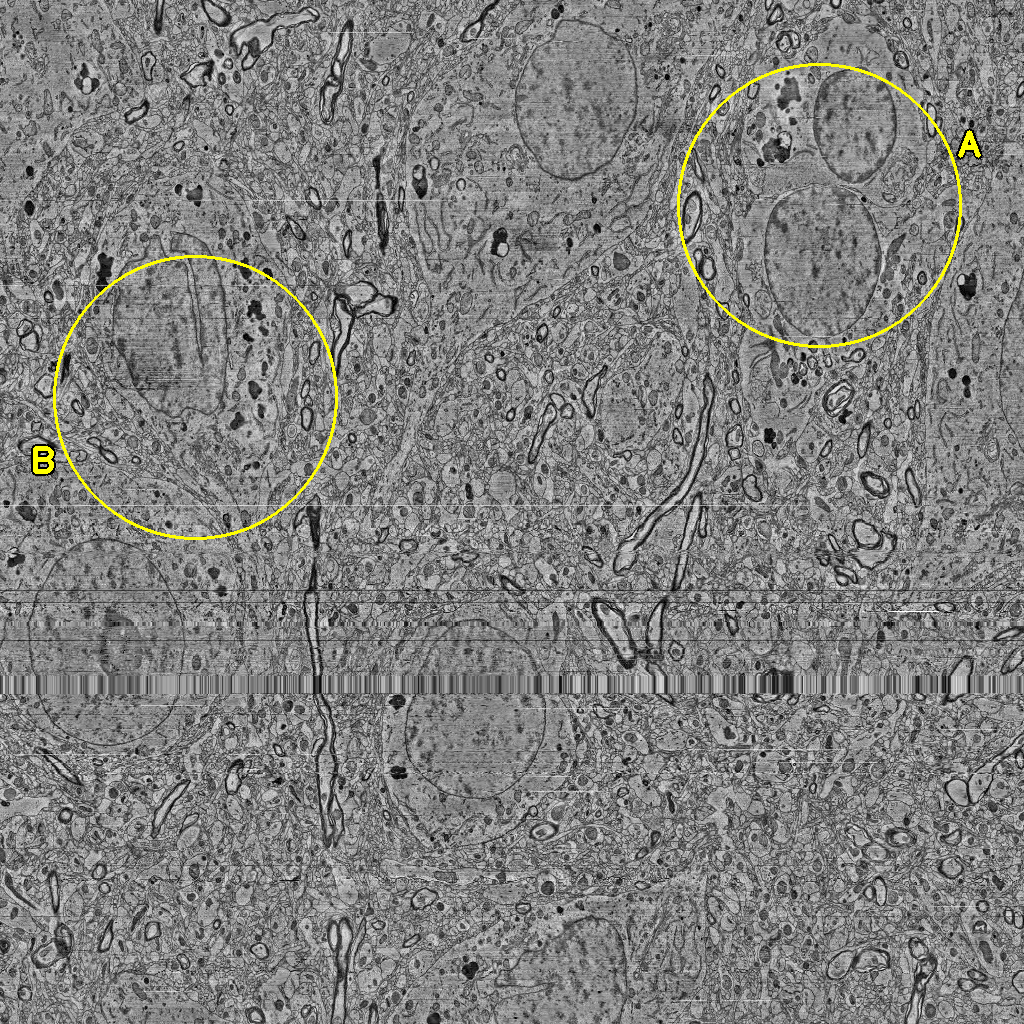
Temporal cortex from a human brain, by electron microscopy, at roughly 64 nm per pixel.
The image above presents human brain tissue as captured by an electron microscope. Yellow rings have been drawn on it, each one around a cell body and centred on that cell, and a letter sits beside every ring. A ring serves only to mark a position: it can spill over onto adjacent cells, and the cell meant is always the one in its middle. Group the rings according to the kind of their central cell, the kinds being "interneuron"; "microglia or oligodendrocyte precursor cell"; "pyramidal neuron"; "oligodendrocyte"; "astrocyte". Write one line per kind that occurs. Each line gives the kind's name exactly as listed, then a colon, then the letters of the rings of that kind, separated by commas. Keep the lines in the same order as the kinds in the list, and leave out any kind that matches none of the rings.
interneuron: B
astrocyte: A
